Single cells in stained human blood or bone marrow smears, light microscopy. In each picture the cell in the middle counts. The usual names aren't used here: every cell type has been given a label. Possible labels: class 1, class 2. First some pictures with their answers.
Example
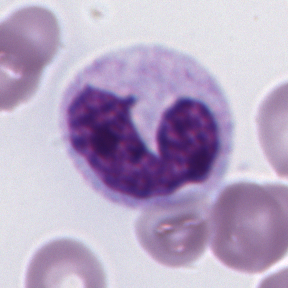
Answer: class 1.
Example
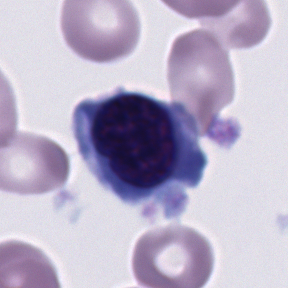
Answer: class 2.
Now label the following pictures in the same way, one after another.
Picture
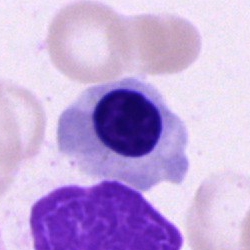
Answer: class 2.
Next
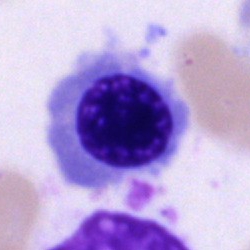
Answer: class 2.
